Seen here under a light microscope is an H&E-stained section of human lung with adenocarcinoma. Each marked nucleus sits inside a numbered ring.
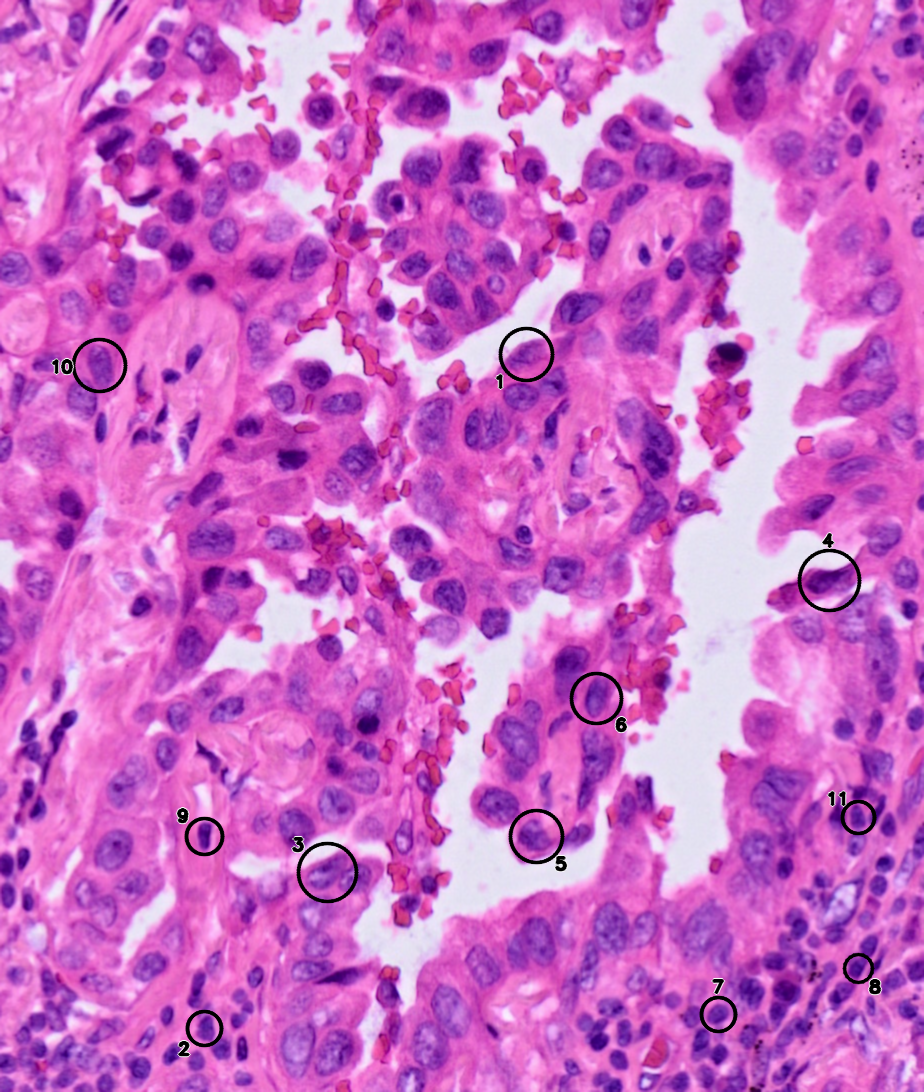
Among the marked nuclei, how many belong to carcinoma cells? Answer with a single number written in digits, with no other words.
6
